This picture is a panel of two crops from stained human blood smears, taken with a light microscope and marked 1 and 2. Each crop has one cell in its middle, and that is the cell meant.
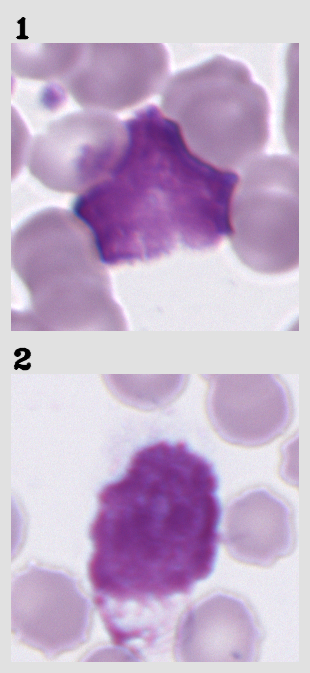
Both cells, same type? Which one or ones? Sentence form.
Yes, the crops both have smudge cells in the middle.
